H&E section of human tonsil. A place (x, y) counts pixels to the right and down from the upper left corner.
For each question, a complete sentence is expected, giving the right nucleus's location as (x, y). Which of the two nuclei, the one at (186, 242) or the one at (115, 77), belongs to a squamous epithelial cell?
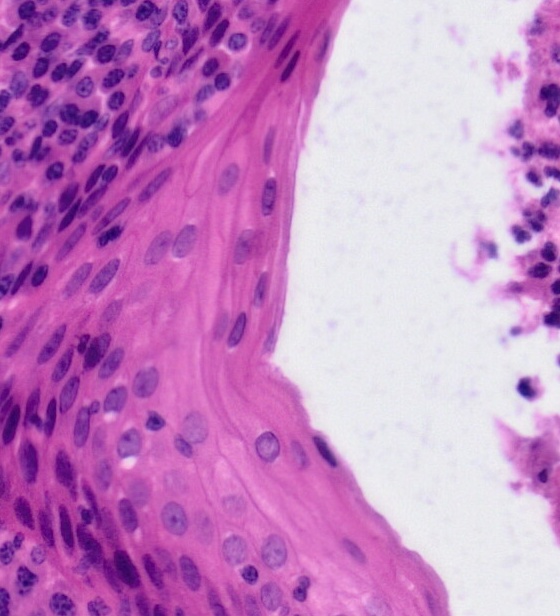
Of the two candidate nuclei, the one at (186, 242) is that of a squamous epithelial cell.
